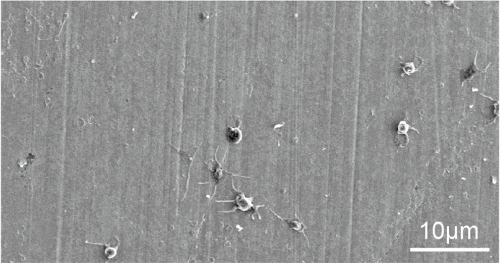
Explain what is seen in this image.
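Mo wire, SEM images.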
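The platelets are small, a few micrometres across, and lie scattered singly or in small loose groups. Some are rounded bodies with only short projections, while others have spread out and extend thin, branching filamentous processes across the surface. No large cells or continuous layer of cells covers the surface, and most of the field is bare.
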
